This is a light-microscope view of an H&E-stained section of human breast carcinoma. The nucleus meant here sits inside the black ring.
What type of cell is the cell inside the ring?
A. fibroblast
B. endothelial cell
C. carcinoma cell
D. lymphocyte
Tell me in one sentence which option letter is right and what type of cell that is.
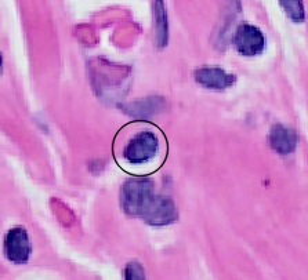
Option D describes the cell inside the ring accurately as a lymphocyte.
